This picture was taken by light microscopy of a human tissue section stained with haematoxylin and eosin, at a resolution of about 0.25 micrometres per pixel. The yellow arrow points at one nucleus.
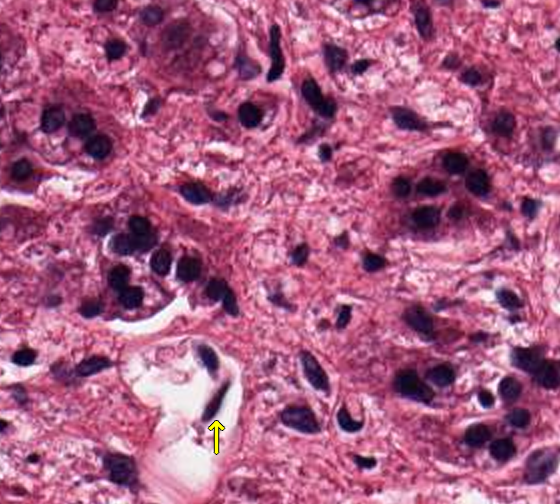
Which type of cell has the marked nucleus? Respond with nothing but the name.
endothelial cell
